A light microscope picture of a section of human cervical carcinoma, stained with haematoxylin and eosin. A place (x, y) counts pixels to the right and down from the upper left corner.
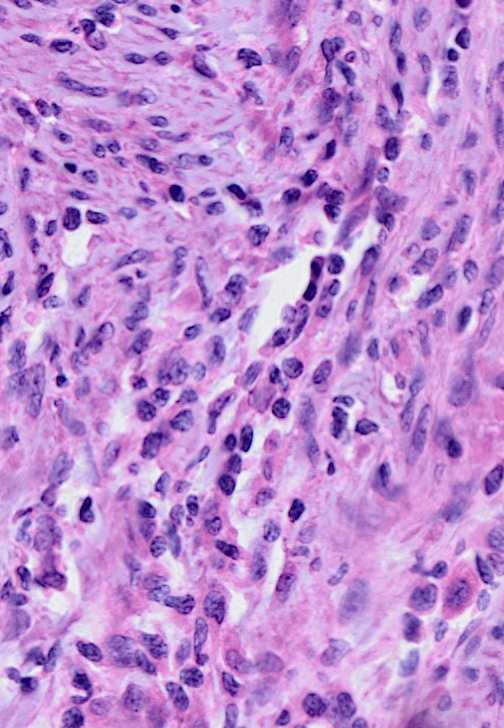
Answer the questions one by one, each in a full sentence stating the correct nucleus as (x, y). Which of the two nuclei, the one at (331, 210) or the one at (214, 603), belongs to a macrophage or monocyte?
Among the two, the nucleus at (214, 603) is the nucleus of a macrophage or monocyte.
